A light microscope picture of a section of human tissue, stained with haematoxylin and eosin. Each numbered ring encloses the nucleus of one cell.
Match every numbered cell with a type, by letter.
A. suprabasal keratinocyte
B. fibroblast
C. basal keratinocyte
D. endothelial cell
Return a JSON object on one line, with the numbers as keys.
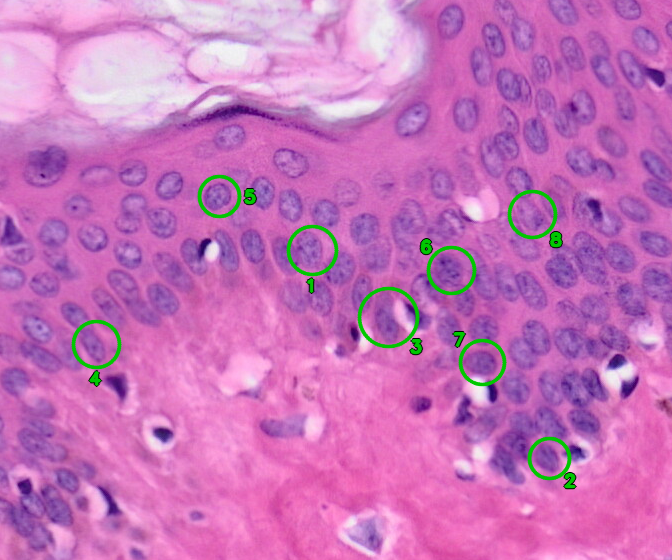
{"1": "A", "2": "C", "3": "C", "4": "C", "5": "A", "6": "A", "7": "C", "8": "A"}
